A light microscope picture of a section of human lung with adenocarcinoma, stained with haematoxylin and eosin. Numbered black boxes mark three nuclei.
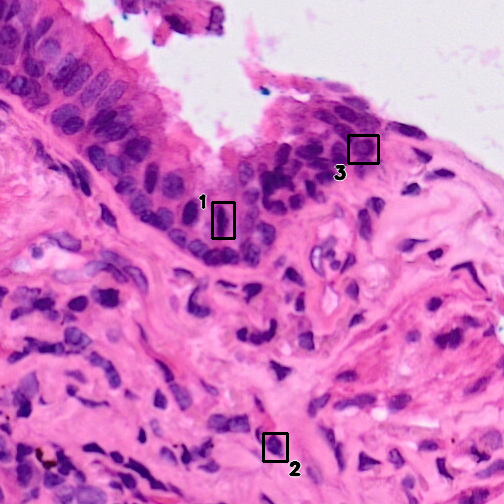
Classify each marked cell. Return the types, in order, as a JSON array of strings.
["ciliated epithelial cell", "lymphocyte", "ciliated epithelial cell"]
